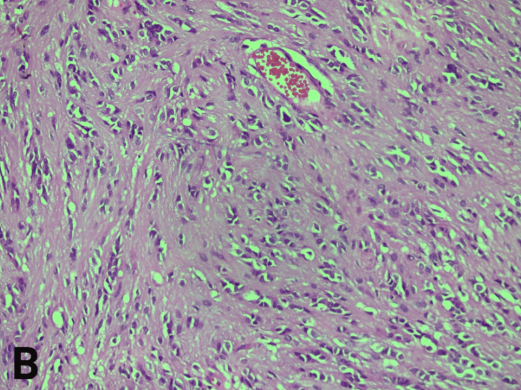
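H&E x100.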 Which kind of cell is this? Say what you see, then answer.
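Proliferating spindle cells. Cells are elongated with tapered, wavy nuclei.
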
